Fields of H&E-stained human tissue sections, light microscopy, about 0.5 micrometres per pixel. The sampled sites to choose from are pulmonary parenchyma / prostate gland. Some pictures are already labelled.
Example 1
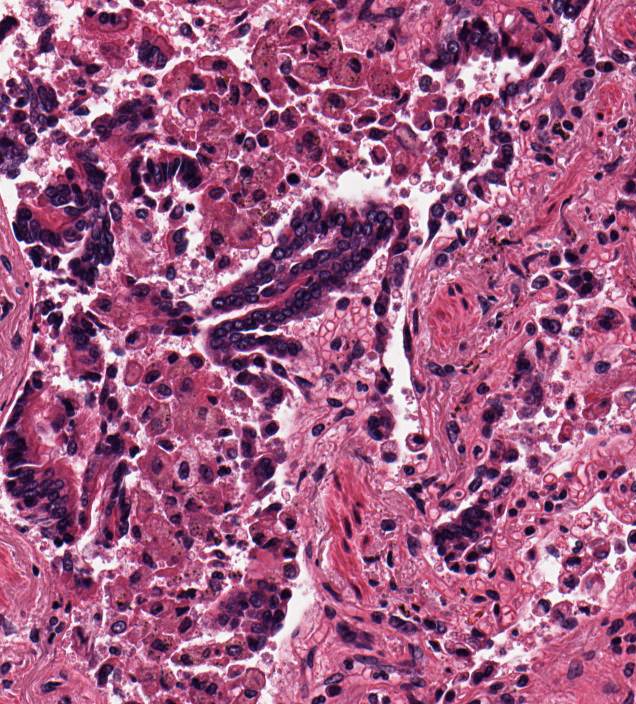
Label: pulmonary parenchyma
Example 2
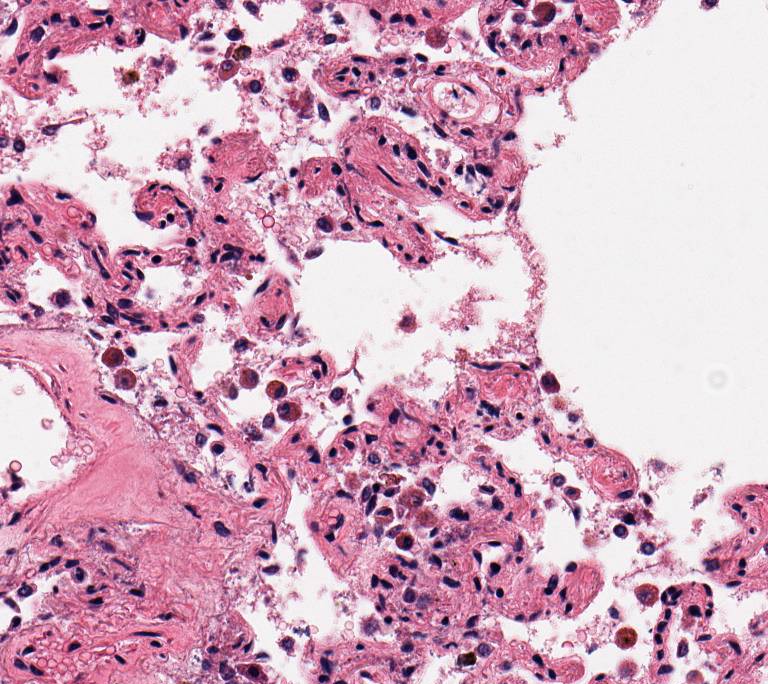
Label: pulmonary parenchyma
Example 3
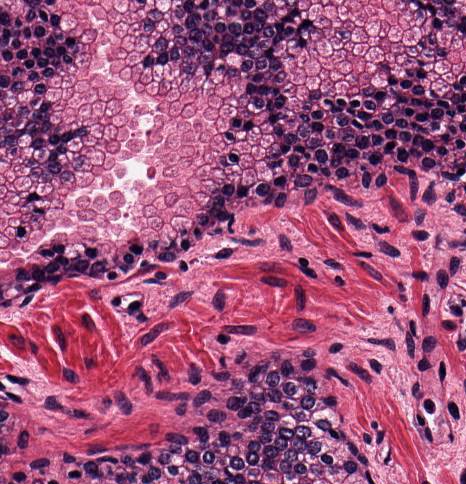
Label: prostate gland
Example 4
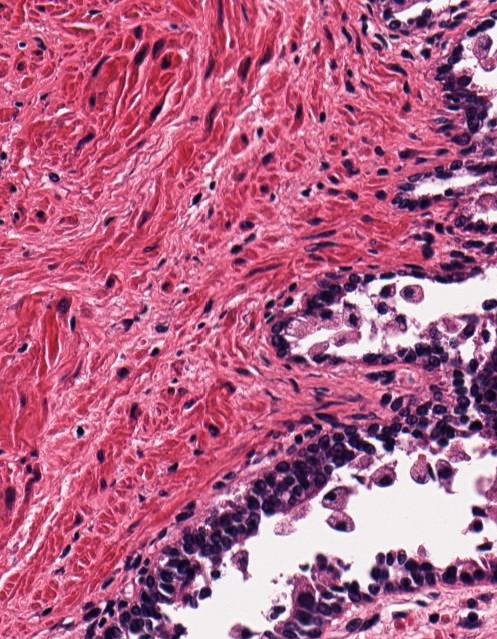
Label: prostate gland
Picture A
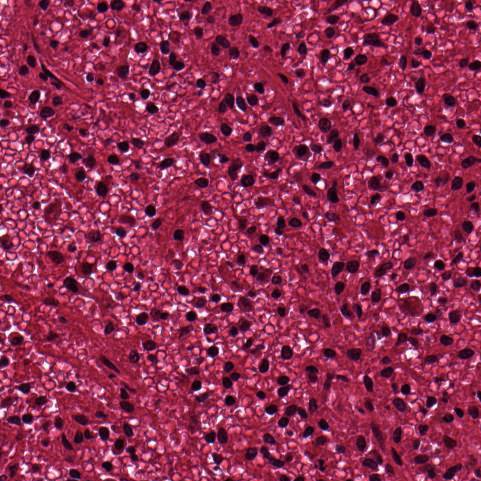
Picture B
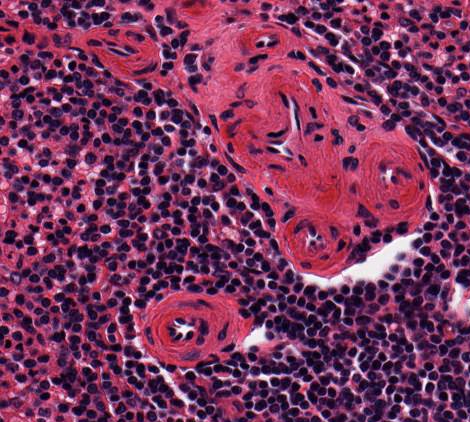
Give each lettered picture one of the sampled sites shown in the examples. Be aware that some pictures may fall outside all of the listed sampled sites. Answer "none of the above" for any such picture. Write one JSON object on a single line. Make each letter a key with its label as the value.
{"A": "none of the above", "B": "none of the above"}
